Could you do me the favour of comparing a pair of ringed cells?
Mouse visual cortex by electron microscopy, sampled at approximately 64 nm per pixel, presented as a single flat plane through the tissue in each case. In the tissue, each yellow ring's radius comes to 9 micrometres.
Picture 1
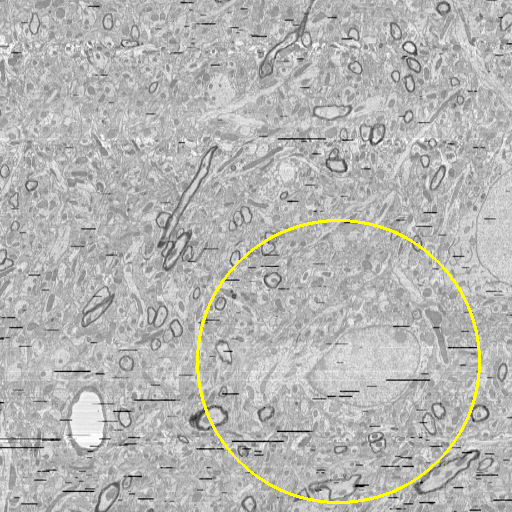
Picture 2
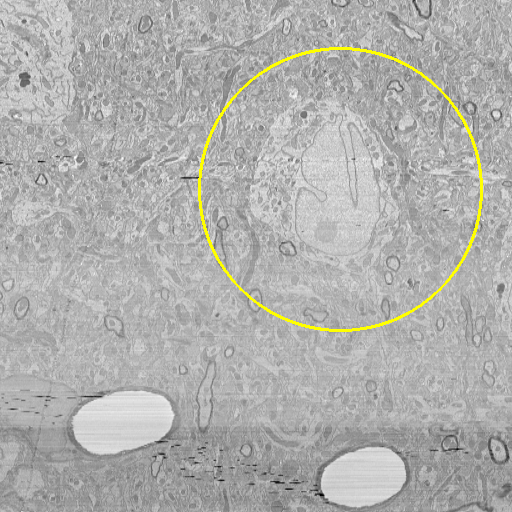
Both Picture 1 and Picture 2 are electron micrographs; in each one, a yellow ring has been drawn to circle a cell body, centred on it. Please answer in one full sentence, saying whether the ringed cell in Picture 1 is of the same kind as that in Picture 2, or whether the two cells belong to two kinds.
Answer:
The ringed cells in Picture 1 and Picture 2 belong to two kinds.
